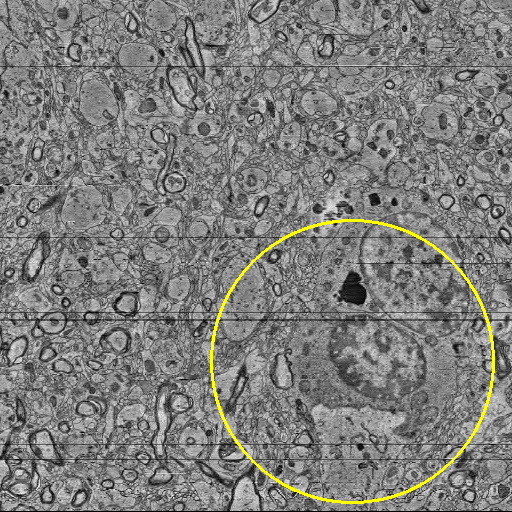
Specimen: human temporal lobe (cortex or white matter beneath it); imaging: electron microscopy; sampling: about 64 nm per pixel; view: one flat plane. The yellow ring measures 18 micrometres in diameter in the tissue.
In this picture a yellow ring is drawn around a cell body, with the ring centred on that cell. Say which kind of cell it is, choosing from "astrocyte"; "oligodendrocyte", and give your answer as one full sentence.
Here it is an oligodendrocyte that sits at the centre of the drawn yellow ring.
